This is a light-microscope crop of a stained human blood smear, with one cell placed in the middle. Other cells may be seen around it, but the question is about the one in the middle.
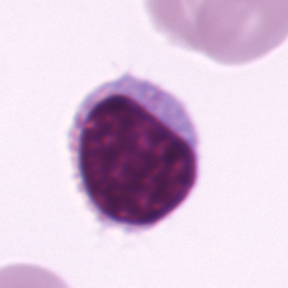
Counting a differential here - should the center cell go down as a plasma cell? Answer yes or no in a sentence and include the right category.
No, the cell in the middle is correctly named a large granular lymphocyte, not a plasma cell.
